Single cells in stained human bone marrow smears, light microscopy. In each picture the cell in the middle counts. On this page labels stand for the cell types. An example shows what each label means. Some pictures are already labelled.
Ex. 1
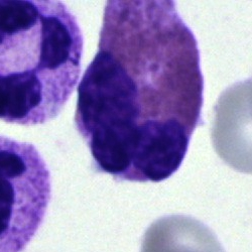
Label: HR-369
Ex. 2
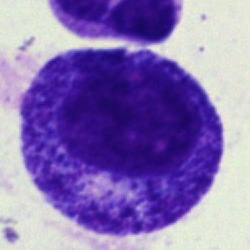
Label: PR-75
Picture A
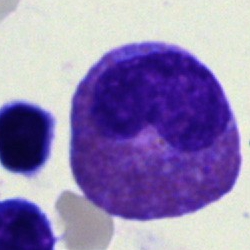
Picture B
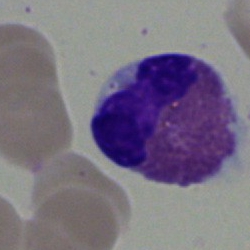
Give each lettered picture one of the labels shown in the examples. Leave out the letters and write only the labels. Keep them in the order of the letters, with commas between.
HR-369, HR-369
